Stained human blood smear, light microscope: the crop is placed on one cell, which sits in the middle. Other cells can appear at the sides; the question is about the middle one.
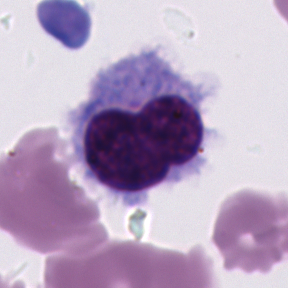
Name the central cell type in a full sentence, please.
In short, the cell at the center is a hairy cell.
